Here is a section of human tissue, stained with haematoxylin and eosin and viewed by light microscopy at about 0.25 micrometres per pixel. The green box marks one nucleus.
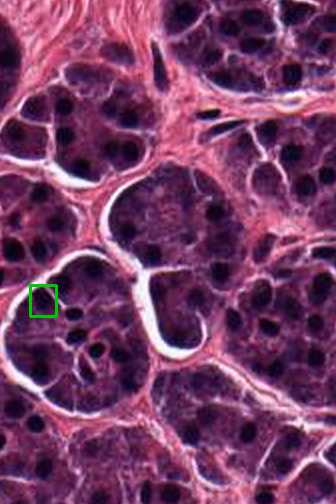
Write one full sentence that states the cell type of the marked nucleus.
The marked nucleus is one that belongs to a pancreatic acinar cell.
